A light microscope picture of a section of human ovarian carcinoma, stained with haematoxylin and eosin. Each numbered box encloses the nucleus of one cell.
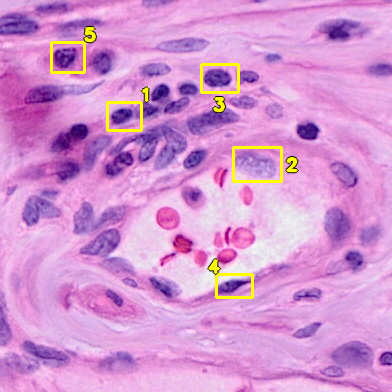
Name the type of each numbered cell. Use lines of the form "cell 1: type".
cell 1: lymphocyte
cell 2: endothelial cell
cell 3: lymphocyte
cell 4: endothelial cell
cell 5: lymphocyte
